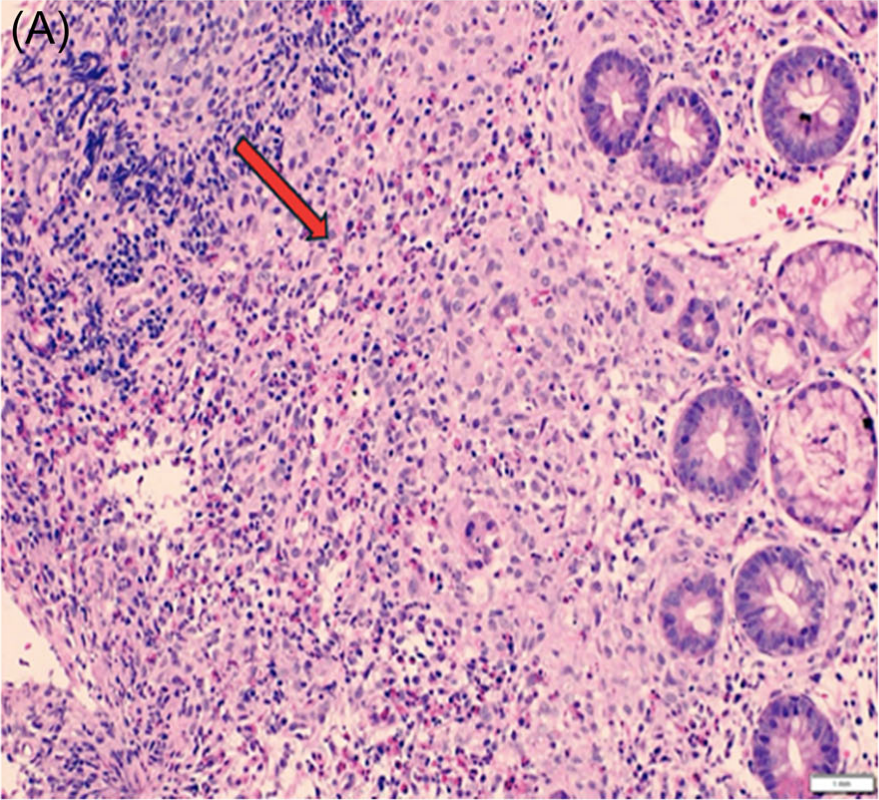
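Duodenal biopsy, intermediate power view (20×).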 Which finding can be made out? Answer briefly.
Expansion of lamina propria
